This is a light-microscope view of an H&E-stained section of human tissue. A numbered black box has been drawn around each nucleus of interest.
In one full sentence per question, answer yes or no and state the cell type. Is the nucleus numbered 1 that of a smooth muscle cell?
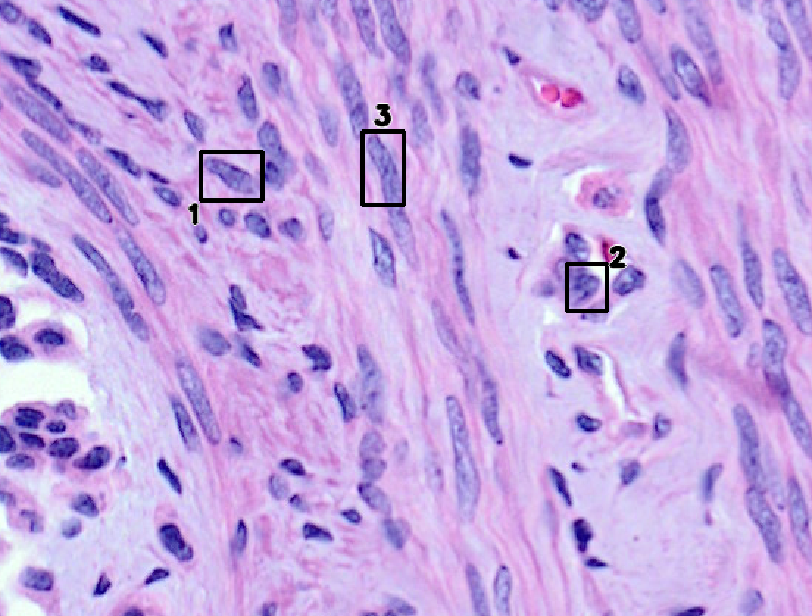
Yes, the cell at the mark numbered 1 is a smooth muscle cell.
